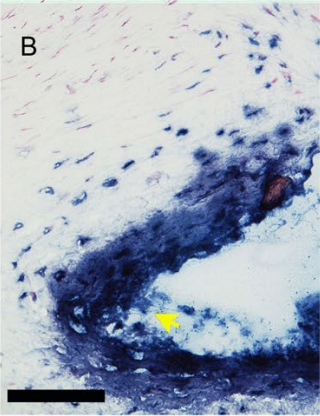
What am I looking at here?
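Wall of a vessel at higher power, with a thick band of dark blue to purple reaction lining the luminal surface. The band is dense and uneven, and dark blue material with cells projects into the pale lumen. Outside this band the wall is paler, with elongated spindle-shaped nuclei lying in parallel with the fibres. Scattered dark blue cells also lie in the outer wall away from the lumen.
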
